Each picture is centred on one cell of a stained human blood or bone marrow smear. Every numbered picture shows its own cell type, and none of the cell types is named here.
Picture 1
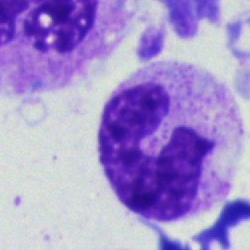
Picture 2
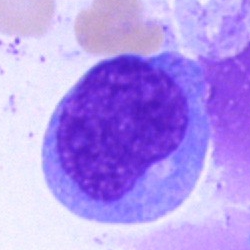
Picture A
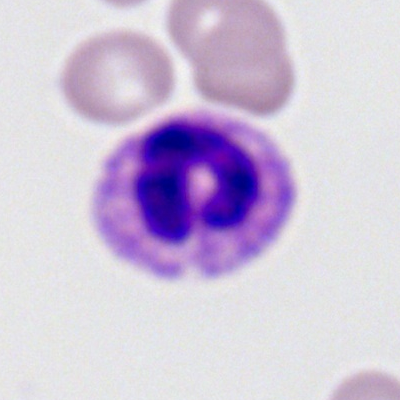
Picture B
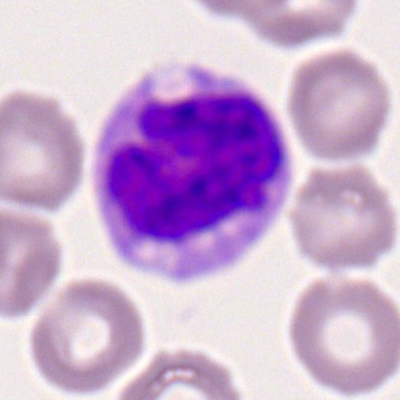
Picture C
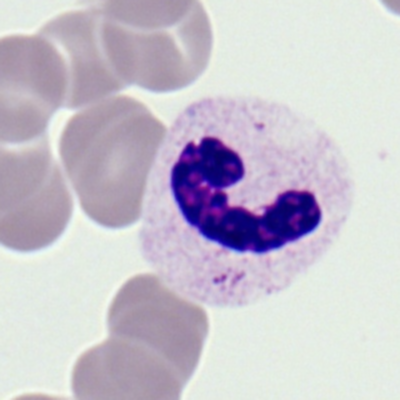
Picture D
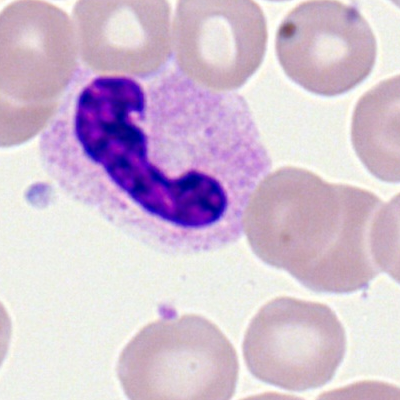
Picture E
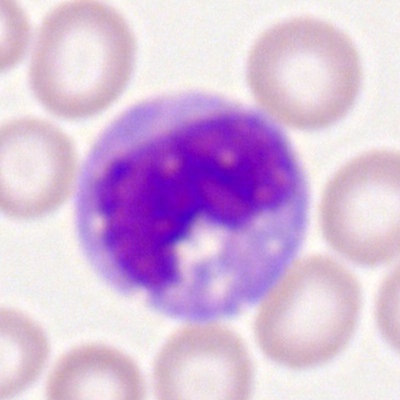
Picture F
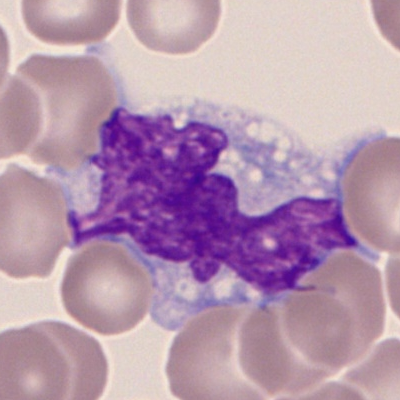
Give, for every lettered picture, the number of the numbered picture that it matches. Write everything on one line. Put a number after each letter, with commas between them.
A 1, B 2, C 1, D 1, E 2, F 2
